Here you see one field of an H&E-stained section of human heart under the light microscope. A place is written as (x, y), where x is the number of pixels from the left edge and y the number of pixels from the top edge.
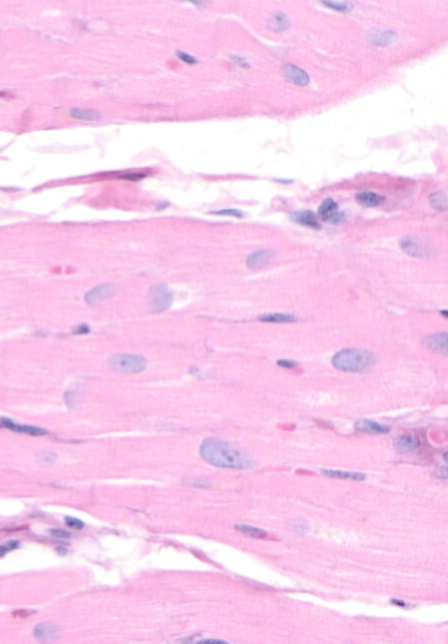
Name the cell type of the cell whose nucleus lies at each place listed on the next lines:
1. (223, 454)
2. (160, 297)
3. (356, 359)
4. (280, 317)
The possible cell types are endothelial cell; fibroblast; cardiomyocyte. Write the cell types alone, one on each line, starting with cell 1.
cardiomyocyte
cardiomyocyte
cardiomyocyte
endothelial cell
